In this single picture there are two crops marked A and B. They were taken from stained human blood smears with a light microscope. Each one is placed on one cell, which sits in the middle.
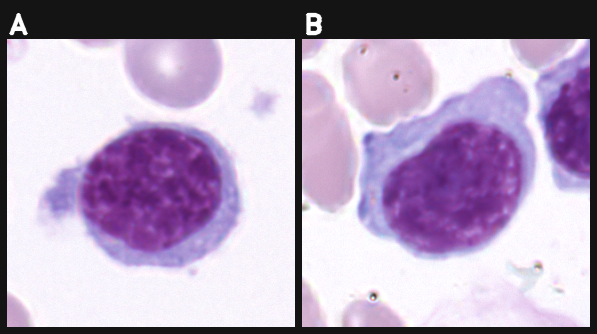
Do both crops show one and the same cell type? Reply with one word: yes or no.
yes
